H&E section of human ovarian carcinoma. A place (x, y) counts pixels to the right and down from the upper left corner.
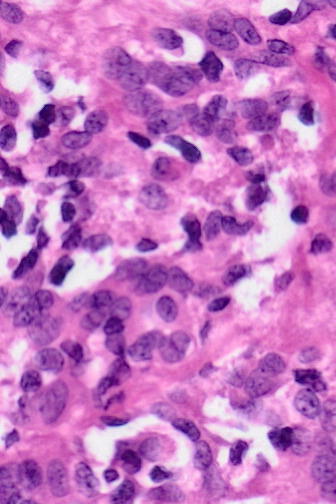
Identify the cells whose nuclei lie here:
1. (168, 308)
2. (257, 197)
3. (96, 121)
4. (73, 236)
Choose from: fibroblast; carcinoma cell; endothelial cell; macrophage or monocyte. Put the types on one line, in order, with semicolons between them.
macrophage or monocyte; carcinoma cell; carcinoma cell; carcinoma cell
